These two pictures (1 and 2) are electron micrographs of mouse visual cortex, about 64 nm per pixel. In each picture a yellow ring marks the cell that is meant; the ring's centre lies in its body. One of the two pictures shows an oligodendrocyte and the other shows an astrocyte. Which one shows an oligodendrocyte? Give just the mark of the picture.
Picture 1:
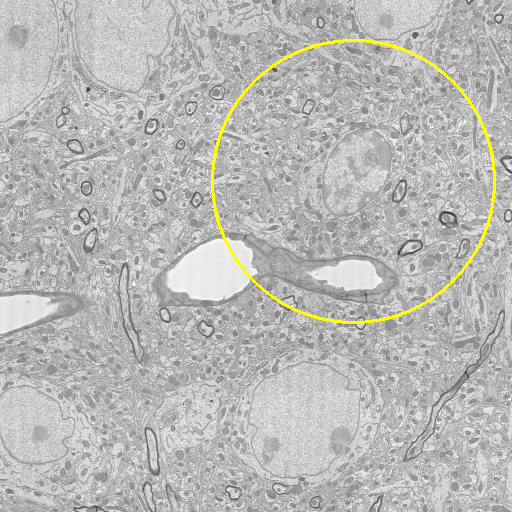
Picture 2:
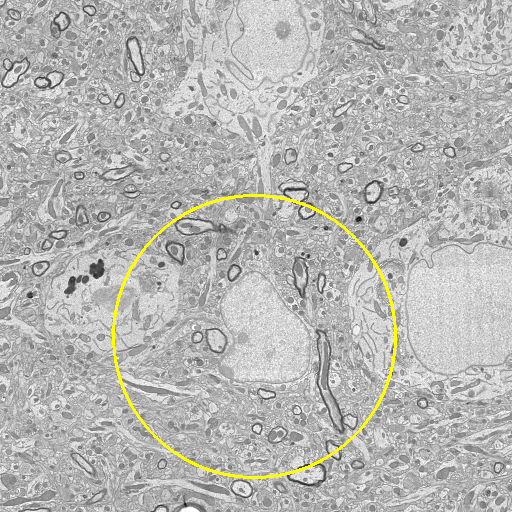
1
